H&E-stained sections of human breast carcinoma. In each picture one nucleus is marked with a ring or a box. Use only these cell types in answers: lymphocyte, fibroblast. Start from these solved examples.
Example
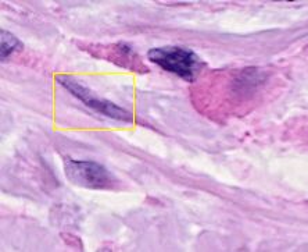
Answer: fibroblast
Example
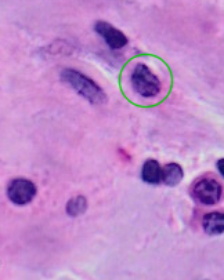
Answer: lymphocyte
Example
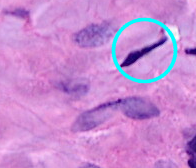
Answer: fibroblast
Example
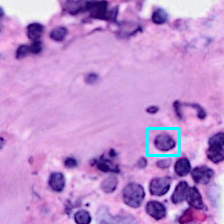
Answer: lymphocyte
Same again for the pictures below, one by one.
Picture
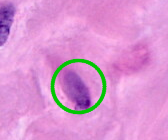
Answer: fibroblast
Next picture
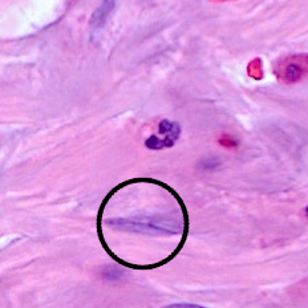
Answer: fibroblast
